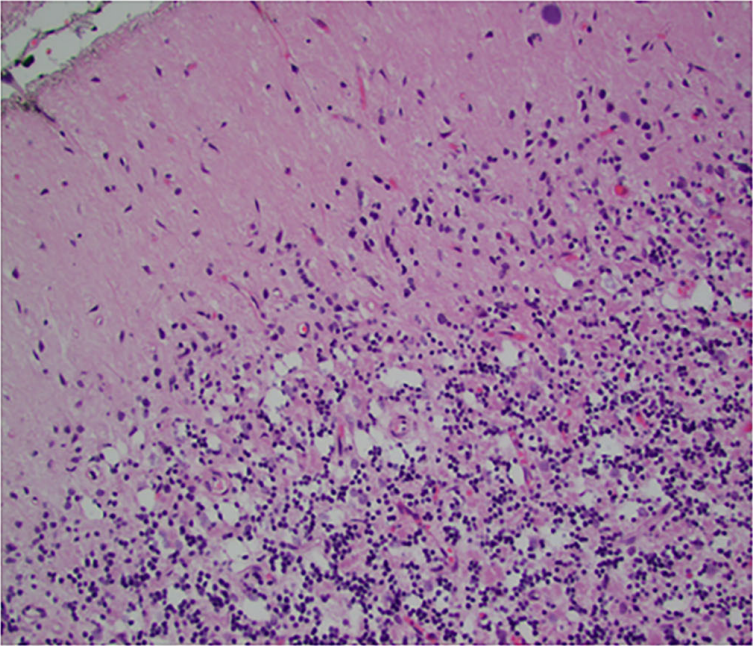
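Cerebellar cortex in which the molecular layer lies directly over the granular layer with no Purkinje cells between them. The molecular layer is pale pink with scattered small elongated and round nuclei. The granular layer is less densely packed than usual and contains many clear vacuolar spaces among the small dark nuclei. No clusters of inflammatory cells are seen.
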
